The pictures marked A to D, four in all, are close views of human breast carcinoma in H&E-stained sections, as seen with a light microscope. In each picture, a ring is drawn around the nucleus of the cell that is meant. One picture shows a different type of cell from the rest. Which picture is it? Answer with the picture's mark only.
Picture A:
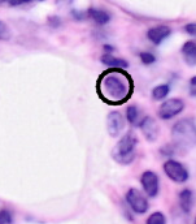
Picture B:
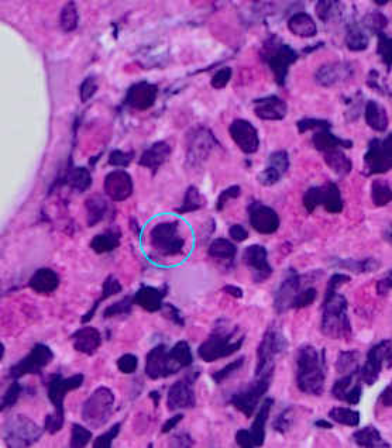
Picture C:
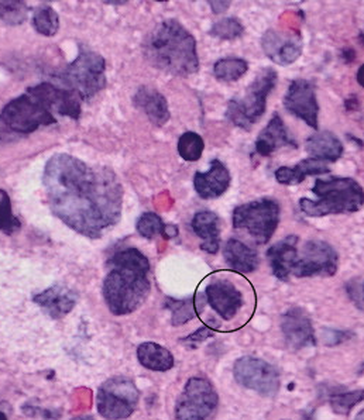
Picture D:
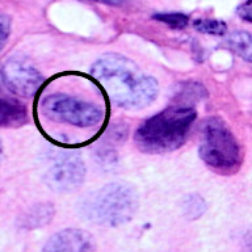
A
